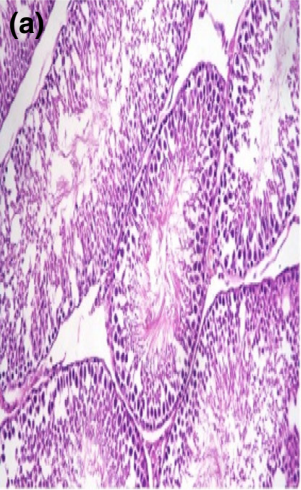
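This is testis tissue cut across many seminiferous tubules, each a rounded profile lined by several layers of germ cells with dark purple nuclei. The layers are densely packed from the tubule wall toward the centre, where pale pink fibrillar material fills the lumen. Narrow clear spaces with thin pink interstitial tissue separate neighbouring tubules.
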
